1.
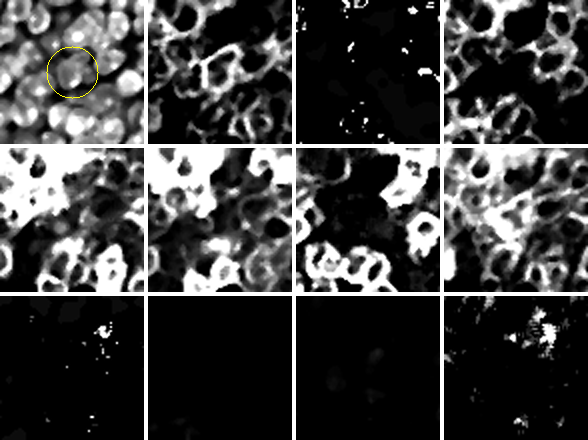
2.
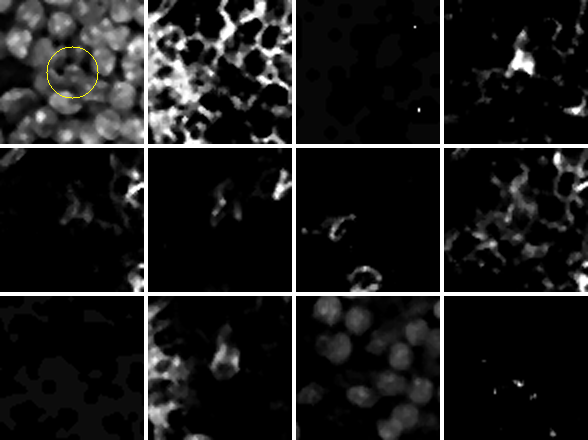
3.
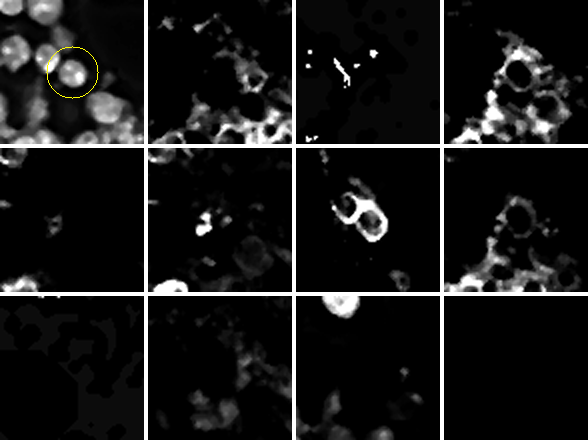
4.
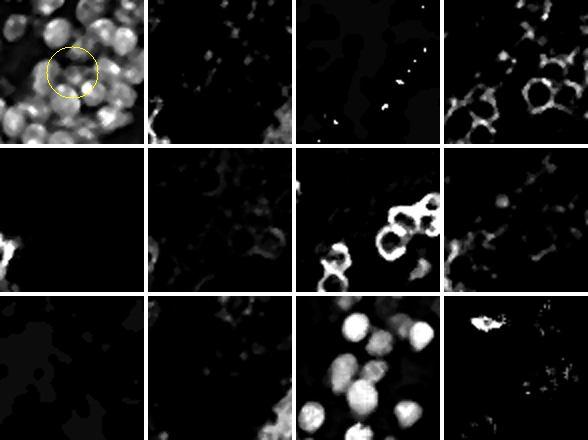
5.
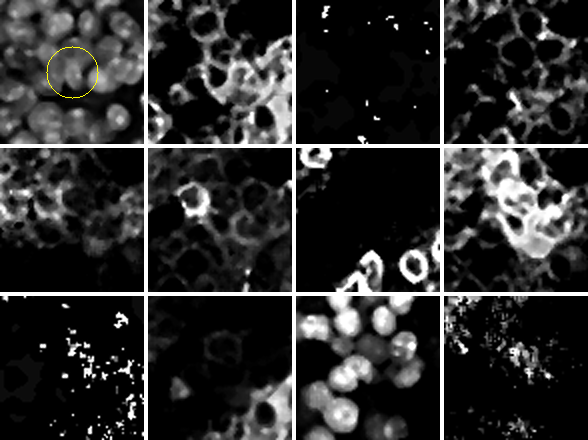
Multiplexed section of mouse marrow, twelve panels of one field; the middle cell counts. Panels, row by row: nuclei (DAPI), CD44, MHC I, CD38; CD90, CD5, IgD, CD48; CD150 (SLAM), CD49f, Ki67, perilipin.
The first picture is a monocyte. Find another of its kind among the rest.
Picture 5.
